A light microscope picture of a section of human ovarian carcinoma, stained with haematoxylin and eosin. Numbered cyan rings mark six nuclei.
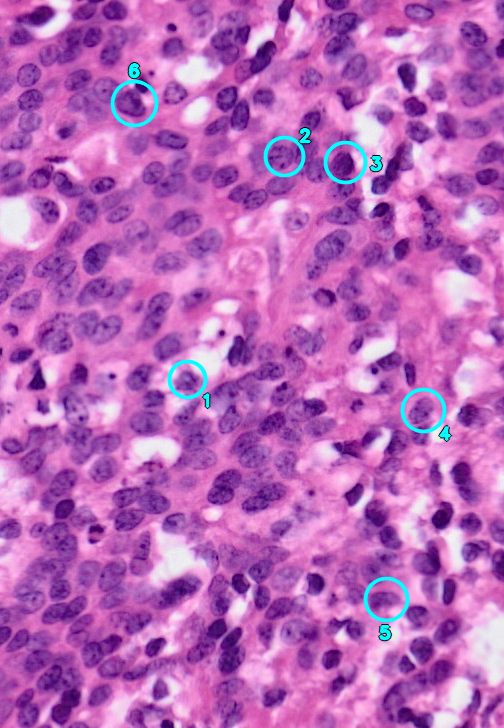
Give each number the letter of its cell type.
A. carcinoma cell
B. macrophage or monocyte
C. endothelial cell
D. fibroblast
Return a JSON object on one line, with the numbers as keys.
{"1": "B", "2": "A", "3": "A", "4": "B", "5": "A", "6": "A"}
